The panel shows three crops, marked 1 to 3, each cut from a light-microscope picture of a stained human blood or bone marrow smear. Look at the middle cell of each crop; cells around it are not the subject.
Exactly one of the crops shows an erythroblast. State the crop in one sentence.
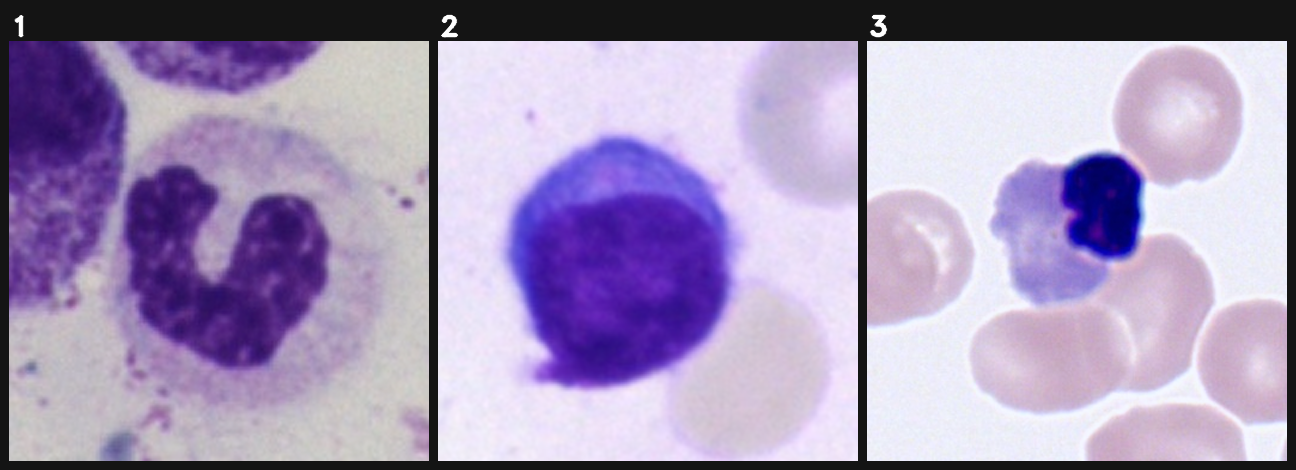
The one showing an erythroblast is the crop labelled 3.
